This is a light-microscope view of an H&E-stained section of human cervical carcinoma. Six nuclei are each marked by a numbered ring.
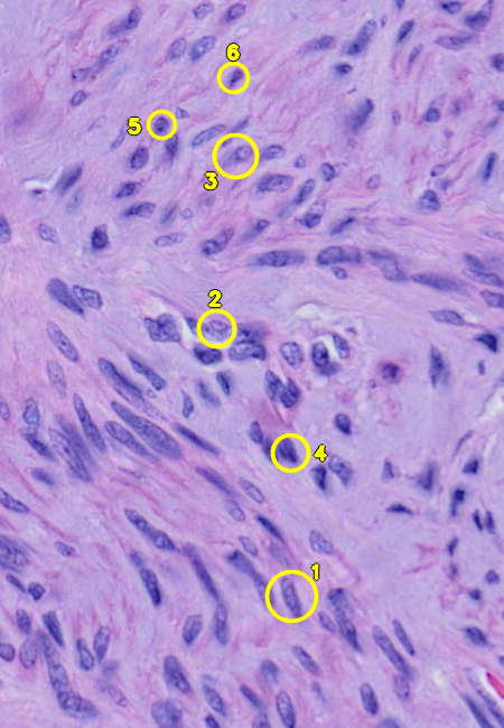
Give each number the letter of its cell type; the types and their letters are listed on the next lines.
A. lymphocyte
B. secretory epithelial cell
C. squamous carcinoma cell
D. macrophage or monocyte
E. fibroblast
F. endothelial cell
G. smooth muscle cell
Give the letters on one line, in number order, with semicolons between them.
G; F; G; E; G; G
